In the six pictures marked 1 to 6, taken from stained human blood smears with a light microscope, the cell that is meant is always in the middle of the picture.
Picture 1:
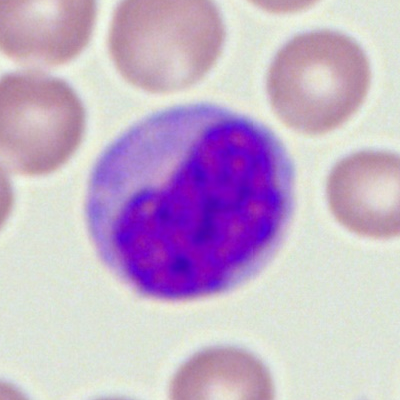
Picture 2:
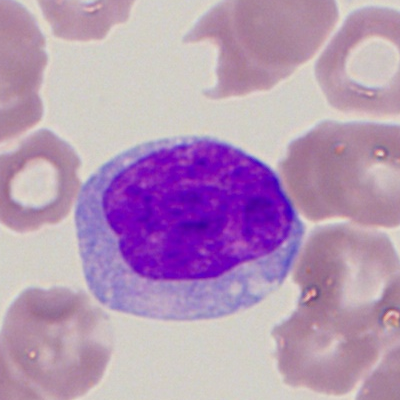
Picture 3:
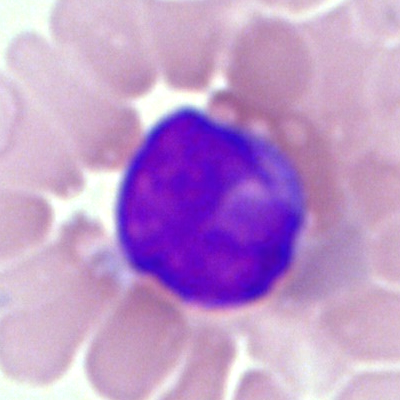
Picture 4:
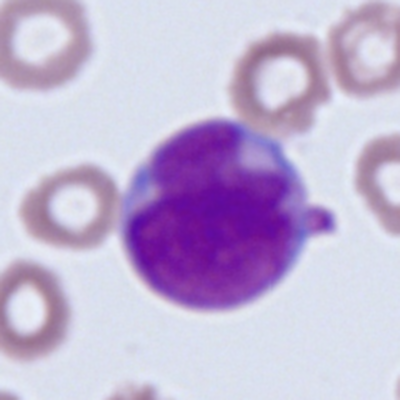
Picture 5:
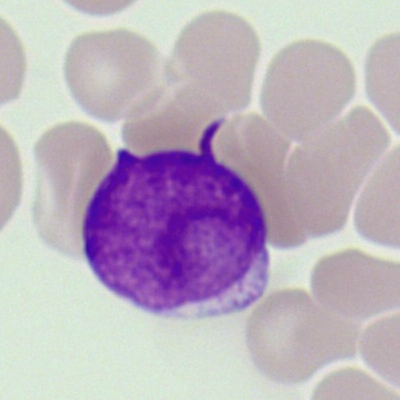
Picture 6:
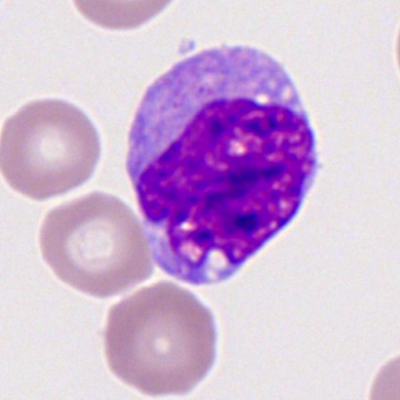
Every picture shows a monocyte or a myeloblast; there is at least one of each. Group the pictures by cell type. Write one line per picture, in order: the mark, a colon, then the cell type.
1: monocyte
2: monocyte
3: myeloblast
4: myeloblast
5: myeloblast
6: monocyte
